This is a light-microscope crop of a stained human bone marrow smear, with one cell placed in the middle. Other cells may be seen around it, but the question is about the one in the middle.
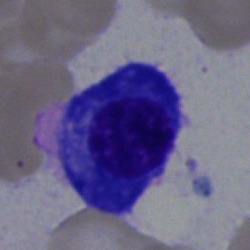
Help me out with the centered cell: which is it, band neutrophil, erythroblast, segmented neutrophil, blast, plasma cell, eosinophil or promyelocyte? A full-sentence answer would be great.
This crop has a plasma cell at its centre.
